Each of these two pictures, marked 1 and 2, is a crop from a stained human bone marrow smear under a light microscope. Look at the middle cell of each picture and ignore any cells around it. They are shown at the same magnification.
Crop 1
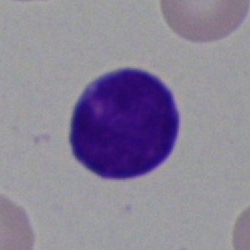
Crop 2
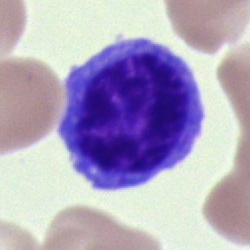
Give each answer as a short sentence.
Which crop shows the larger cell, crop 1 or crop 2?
Larger is the cell in crop 2, at roughly 1.5 times the area of the other.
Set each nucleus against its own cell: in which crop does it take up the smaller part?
In crop 2 the nucleus takes up the smaller part of its cell.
